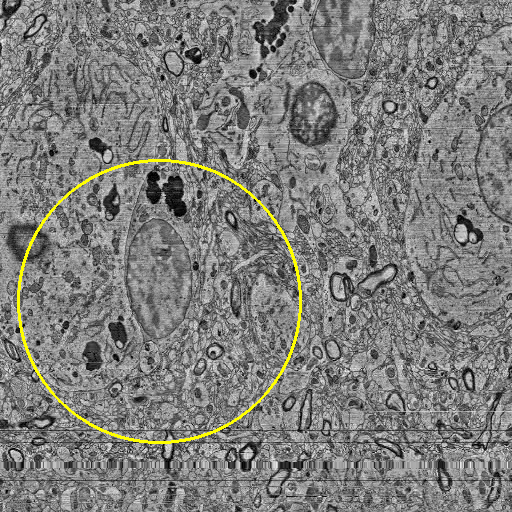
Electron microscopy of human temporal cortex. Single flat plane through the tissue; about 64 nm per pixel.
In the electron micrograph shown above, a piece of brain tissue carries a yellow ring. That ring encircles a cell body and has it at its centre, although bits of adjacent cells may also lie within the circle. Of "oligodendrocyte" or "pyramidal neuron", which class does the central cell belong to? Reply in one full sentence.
The cell body at the centre of the yellow ring belongs to an oligodendrocyte.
